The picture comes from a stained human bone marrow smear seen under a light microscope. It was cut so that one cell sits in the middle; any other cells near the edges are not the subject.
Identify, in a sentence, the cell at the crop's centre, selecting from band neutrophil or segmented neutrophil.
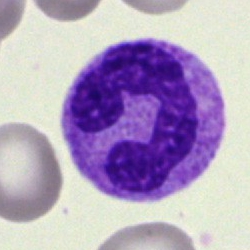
At the center of the crop sits a segmented neutrophil.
